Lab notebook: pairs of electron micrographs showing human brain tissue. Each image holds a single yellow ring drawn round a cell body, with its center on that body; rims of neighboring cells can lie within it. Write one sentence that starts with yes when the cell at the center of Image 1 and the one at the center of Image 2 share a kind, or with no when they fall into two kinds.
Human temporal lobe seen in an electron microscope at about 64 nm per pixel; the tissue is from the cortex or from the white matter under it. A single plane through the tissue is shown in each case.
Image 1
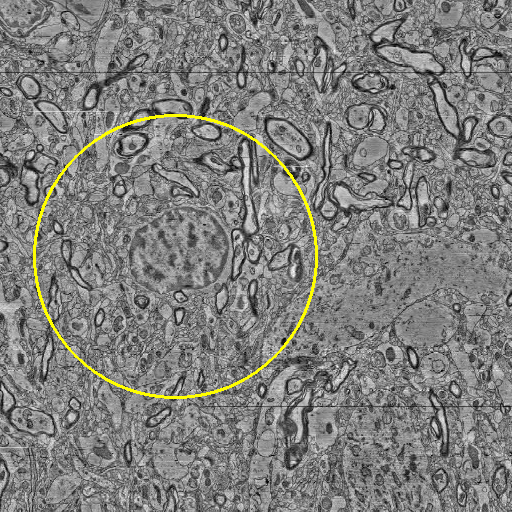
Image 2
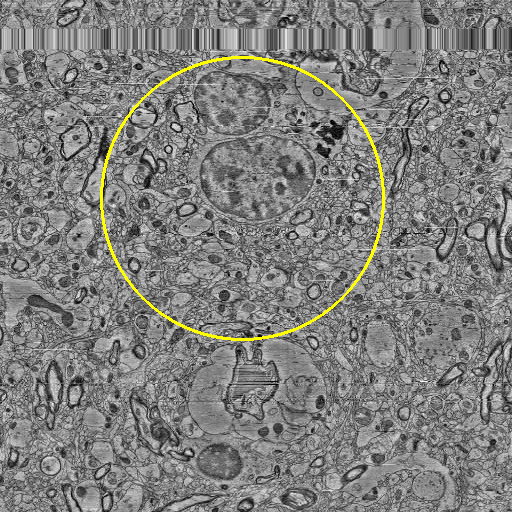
Yes, the centered cell in Image 1 and the centered cell in Image 2 are of one kind.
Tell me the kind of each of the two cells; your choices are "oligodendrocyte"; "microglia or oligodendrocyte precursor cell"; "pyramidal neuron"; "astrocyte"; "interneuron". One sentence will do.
In the first picture and in the second, the ring is centred on an oligodendrocyte.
